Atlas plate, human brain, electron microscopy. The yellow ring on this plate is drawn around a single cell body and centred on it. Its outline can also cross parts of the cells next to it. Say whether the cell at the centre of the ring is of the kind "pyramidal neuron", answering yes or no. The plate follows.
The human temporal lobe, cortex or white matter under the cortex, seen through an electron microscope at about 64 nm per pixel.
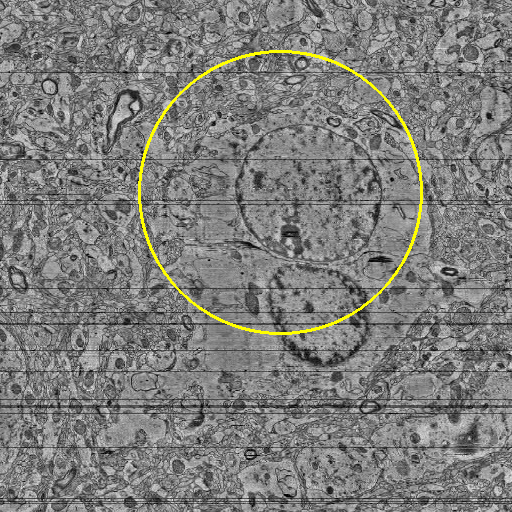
No, the cell is of another kind.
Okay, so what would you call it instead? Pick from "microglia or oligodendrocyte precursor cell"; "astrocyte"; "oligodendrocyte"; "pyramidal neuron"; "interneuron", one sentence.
The answer is that the ringed cell is an astrocyte.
